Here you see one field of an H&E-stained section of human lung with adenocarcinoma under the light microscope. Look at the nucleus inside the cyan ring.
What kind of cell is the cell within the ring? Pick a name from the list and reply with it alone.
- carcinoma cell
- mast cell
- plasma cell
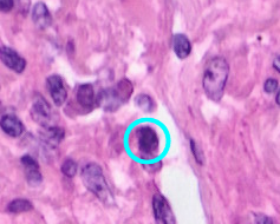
plasma cell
